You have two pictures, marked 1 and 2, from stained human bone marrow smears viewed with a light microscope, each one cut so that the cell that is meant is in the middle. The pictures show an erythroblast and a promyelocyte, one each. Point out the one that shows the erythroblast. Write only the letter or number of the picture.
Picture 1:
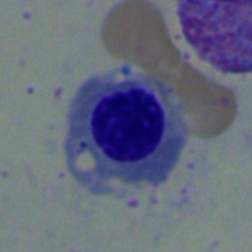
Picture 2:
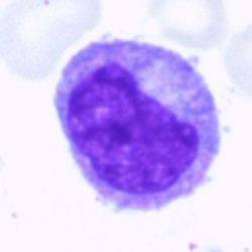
1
